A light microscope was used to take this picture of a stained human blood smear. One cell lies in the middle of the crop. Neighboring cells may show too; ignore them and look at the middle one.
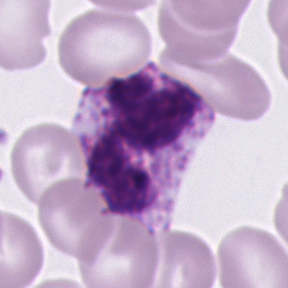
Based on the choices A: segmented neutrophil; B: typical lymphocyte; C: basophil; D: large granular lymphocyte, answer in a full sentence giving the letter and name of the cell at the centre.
The cell in the middle is a basophil, and so option C is correct.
